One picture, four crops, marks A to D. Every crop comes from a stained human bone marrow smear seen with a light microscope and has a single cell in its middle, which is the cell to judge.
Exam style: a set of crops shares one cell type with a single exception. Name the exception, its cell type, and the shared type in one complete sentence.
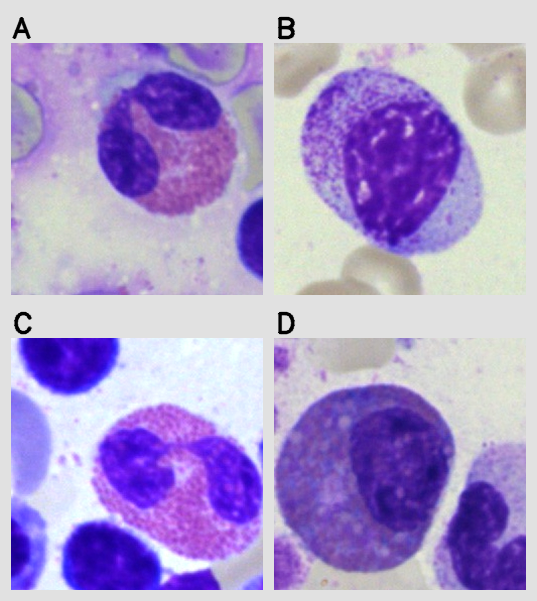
What sets crop B apart is that it is a myelocyte; the others are all eosinophils.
